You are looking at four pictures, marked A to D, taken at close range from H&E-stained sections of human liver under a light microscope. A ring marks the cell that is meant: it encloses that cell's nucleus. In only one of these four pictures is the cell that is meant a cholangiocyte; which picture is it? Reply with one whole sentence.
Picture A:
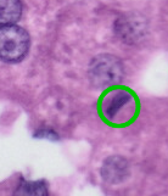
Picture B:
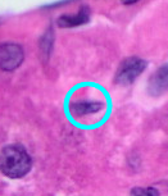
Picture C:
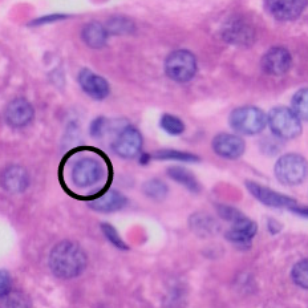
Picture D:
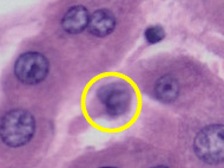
The cholangiocyte is the one in picture C.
